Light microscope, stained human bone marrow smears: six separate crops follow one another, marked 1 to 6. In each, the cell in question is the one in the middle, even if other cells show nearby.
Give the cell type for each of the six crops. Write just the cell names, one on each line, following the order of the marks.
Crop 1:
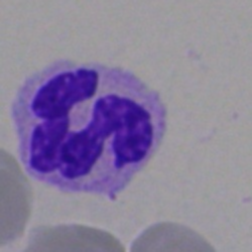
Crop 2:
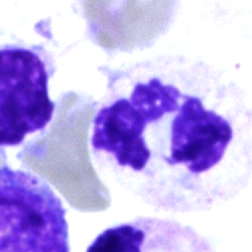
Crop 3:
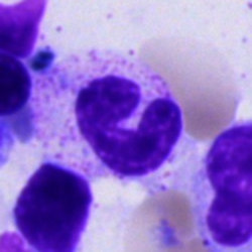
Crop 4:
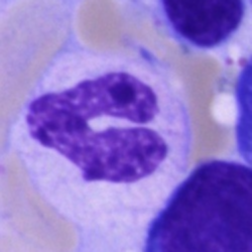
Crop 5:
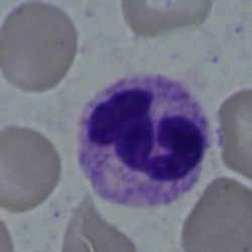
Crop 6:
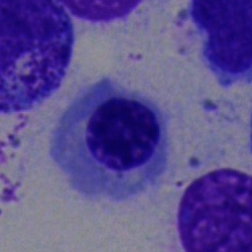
segmented neutrophil
segmented neutrophil
band neutrophil
band neutrophil
segmented neutrophil
normoblast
